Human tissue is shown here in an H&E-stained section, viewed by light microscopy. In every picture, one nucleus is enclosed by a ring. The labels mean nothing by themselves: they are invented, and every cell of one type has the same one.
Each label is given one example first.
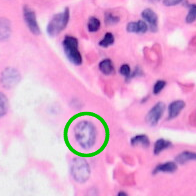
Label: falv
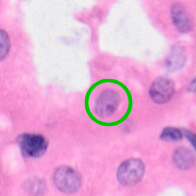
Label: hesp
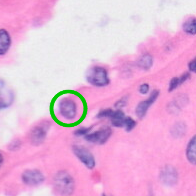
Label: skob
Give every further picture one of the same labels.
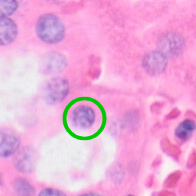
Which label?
skob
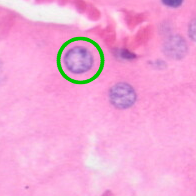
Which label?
hesp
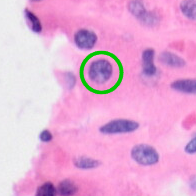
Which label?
skob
